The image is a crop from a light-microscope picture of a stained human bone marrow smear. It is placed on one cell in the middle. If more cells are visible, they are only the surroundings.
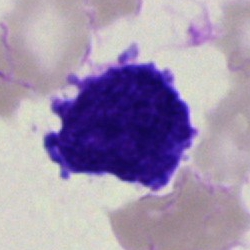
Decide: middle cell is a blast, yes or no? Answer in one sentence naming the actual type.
Yes, the cell located at the center is a blast.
